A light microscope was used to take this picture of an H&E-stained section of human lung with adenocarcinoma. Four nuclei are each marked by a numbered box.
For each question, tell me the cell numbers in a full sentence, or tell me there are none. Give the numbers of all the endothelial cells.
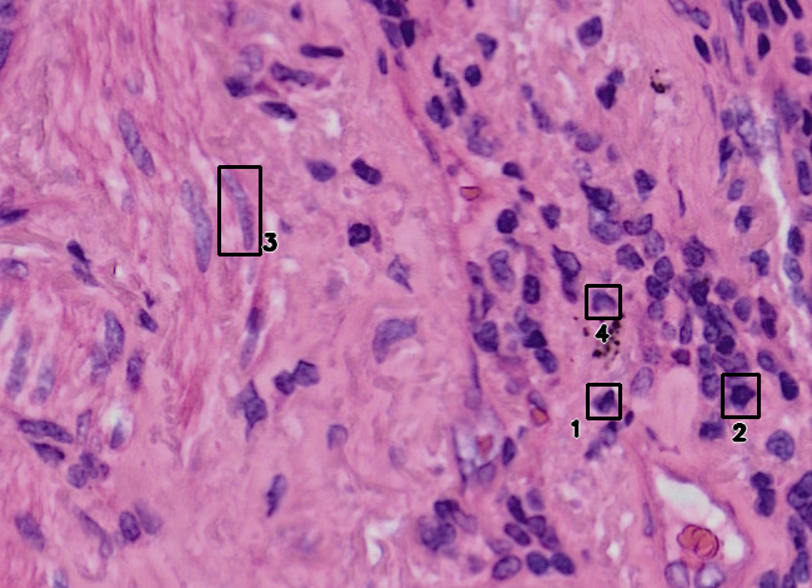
Honestly, none of the numbered cells are endothelial cells.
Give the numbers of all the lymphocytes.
Here, the cells that carry numbers 1, 2 and 4 are lymphocytes.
